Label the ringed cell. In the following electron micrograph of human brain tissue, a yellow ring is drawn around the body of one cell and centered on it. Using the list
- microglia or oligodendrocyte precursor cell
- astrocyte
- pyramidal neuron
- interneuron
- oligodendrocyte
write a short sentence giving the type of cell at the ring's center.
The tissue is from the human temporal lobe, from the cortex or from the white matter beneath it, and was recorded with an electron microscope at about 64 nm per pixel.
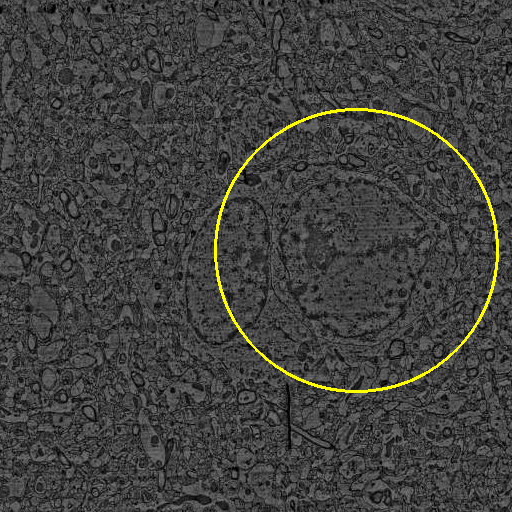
The cell body at the ring's center is that of an interneuron.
